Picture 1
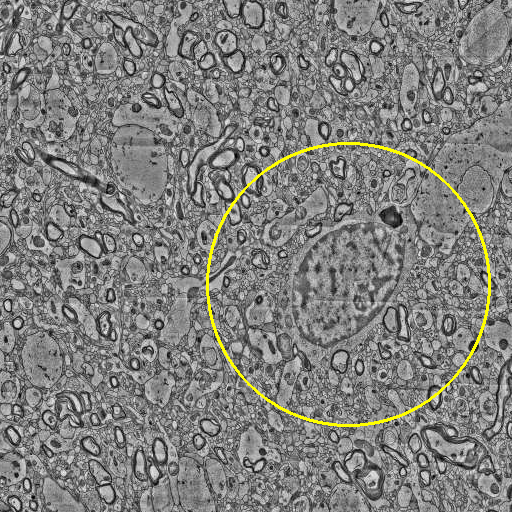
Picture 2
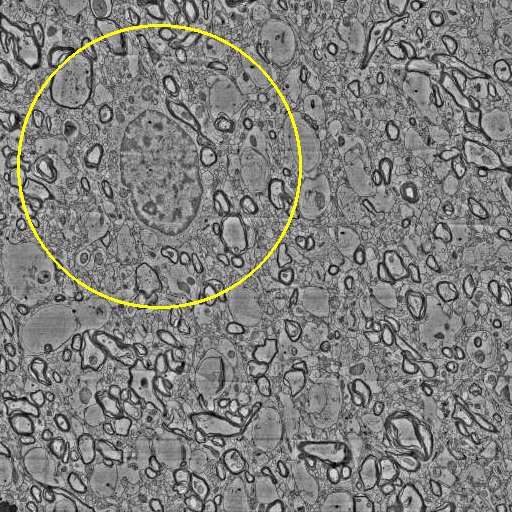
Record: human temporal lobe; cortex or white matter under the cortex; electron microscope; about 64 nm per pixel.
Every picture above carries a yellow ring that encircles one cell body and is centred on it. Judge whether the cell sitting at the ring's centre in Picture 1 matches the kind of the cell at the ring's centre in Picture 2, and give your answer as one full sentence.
Yes, the cells centred in the rings of Pictures 1 and 2 belong to one kind.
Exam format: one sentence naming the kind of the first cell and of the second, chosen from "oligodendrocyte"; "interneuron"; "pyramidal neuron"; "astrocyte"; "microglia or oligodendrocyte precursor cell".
Each one of the two ringed cells is an oligodendrocyte.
